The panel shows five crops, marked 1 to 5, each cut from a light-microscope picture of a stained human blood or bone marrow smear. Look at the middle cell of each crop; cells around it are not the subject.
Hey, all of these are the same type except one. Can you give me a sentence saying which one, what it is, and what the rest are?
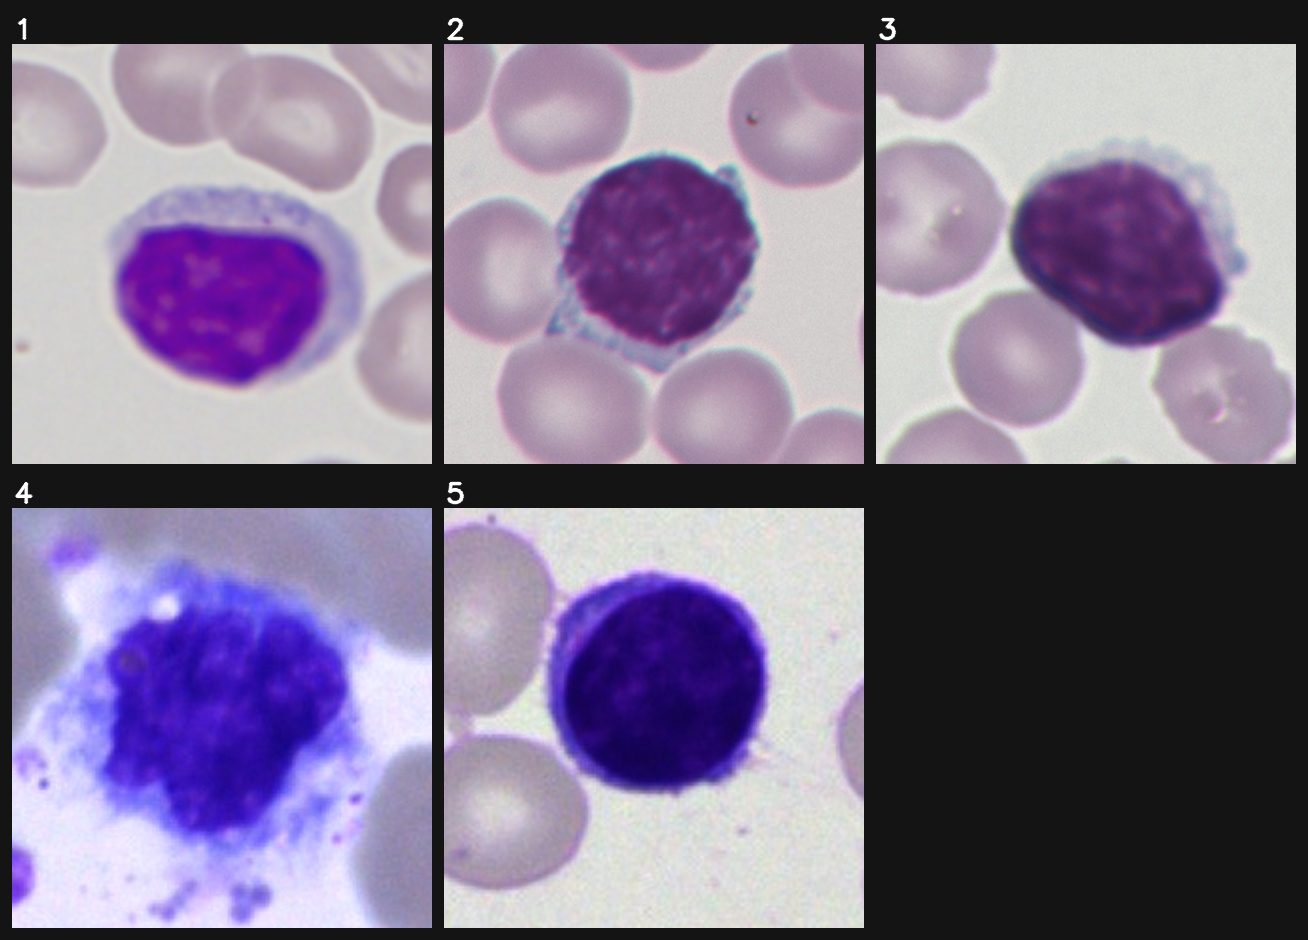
Only crop 4 differs, being a monocyte, while the others all show lymphocytes.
